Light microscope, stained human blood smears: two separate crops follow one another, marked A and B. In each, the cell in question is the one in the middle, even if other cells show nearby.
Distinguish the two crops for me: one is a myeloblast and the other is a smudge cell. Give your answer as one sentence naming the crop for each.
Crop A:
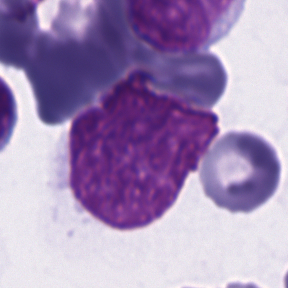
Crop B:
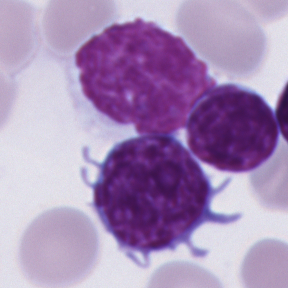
Crop A features a smudge cell, and crop B features a myeloblast.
